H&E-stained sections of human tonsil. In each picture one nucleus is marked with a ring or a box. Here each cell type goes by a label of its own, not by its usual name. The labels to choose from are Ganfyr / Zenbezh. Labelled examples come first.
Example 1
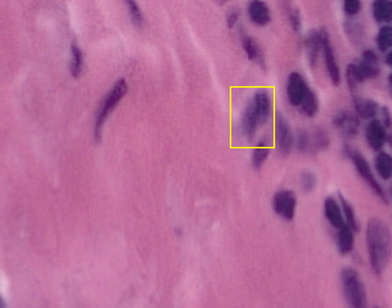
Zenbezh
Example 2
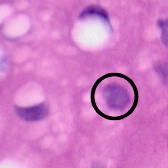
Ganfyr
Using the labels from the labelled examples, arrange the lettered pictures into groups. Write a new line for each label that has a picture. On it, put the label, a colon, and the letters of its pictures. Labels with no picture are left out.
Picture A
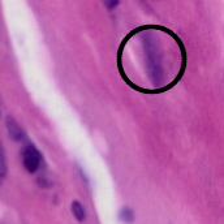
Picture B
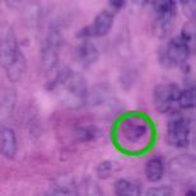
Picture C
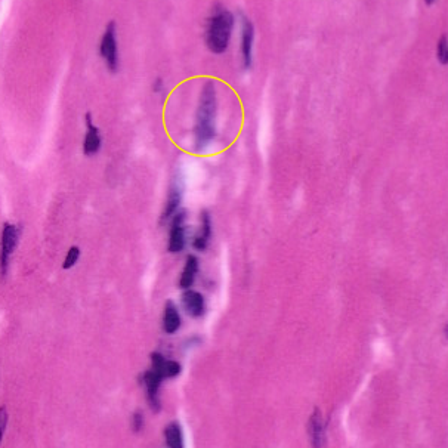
Zenbezh: A, B, C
